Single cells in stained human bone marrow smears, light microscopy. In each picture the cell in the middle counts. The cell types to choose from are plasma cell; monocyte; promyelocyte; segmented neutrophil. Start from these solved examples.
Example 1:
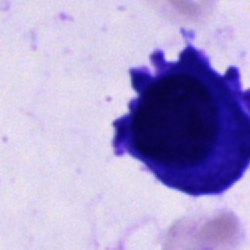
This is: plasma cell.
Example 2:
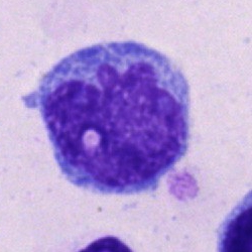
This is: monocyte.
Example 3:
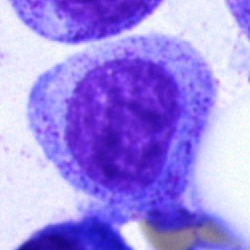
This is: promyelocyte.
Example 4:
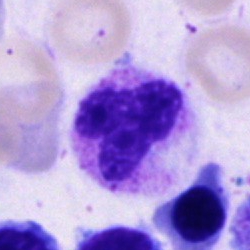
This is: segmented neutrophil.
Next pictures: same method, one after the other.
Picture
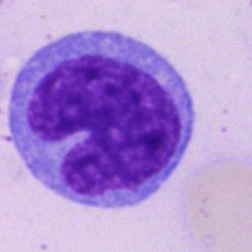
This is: monocyte.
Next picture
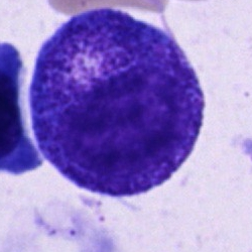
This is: promyelocyte.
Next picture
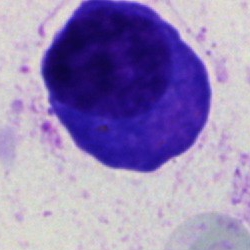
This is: plasma cell.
